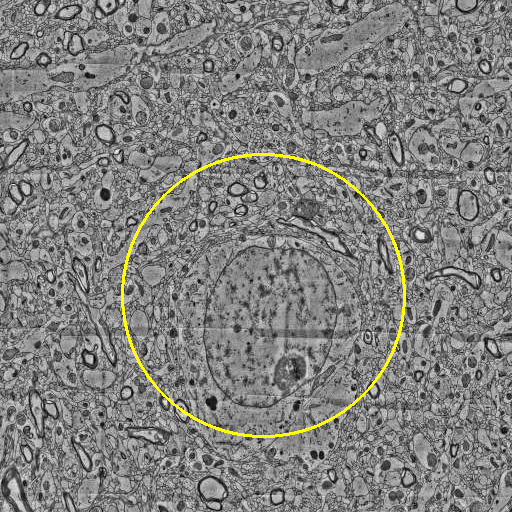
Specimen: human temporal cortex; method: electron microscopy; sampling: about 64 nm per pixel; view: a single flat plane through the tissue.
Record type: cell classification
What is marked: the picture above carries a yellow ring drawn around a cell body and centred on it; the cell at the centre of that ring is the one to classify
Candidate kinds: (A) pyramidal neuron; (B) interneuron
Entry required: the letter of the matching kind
A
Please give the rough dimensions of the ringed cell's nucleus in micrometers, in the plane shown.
Approximately 11 by 8 micrometers in this plane.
